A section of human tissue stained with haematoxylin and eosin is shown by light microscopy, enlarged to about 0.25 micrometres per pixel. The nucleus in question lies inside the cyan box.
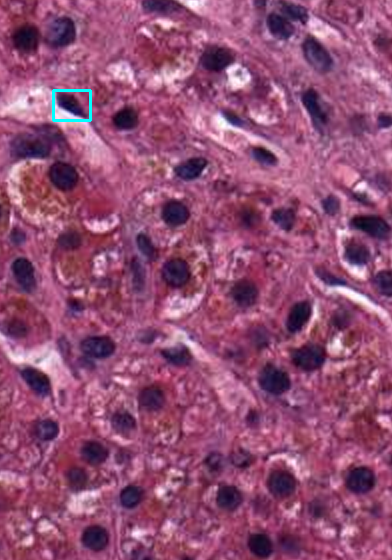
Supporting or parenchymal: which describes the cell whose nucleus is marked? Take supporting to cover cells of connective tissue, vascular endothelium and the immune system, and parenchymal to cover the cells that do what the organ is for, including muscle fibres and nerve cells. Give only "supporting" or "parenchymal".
supporting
